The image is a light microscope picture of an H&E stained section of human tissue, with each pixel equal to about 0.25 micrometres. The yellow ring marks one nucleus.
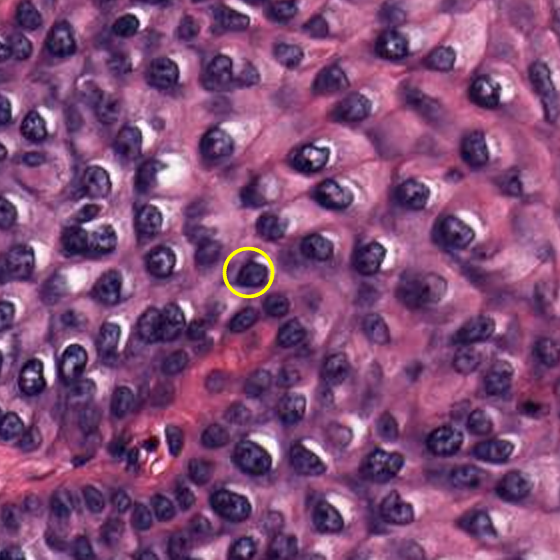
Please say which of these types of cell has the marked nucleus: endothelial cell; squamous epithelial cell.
squamous epithelial cell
